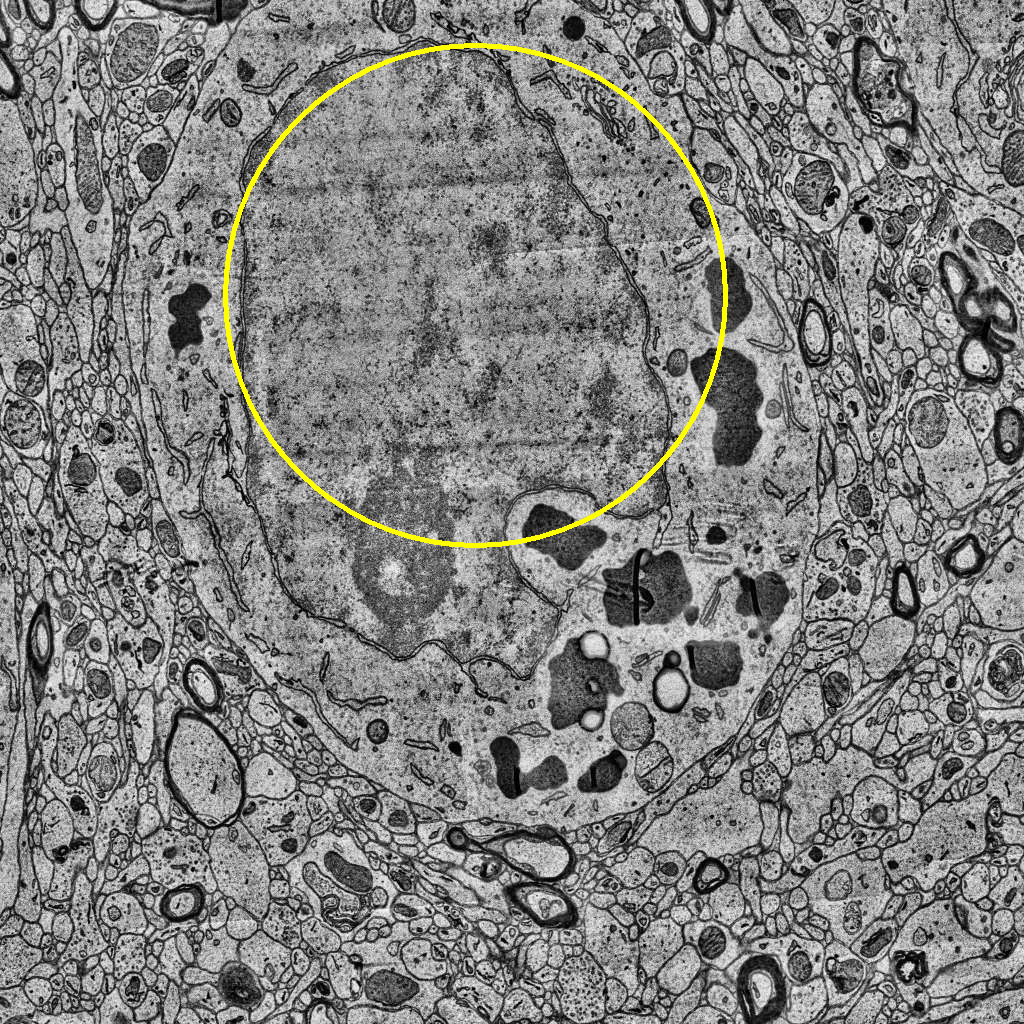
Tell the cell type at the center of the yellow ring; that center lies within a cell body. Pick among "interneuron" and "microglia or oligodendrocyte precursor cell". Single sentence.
The ring's center lies in the body of an interneuron.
